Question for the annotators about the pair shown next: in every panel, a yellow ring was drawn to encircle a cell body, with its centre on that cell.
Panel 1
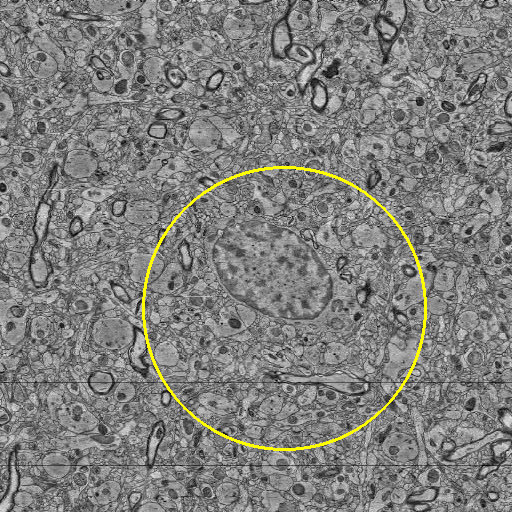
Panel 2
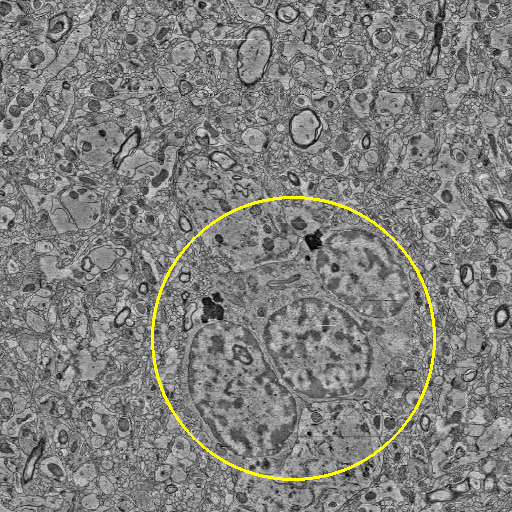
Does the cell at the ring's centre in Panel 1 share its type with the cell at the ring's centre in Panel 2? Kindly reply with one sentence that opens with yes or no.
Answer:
Yes, in Panels 1 and 2 the cells at the ring centres belong to a single type.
